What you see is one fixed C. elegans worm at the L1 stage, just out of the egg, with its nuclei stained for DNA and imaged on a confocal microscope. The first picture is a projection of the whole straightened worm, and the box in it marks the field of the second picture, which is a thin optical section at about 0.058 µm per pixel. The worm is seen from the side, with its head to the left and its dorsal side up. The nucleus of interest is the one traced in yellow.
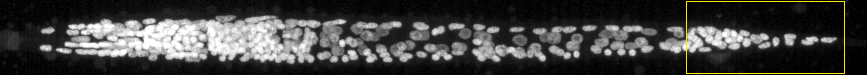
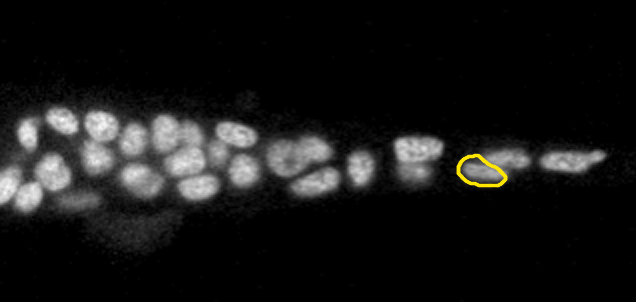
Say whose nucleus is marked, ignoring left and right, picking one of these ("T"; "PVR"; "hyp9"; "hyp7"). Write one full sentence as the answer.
The marked nucleus belongs to hyp9, a hypodermal cell (hyp).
